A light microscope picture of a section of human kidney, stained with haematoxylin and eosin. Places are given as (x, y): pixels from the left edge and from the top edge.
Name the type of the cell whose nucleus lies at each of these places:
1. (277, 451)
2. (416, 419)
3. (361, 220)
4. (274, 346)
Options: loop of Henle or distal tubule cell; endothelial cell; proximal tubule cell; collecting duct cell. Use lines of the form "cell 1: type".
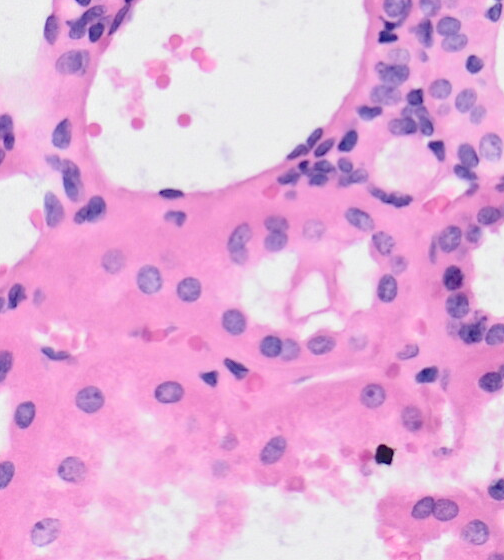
cell 1: proximal tubule cell
cell 2: proximal tubule cell
cell 3: collecting duct cell
cell 4: loop of Henle or distal tubule cell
